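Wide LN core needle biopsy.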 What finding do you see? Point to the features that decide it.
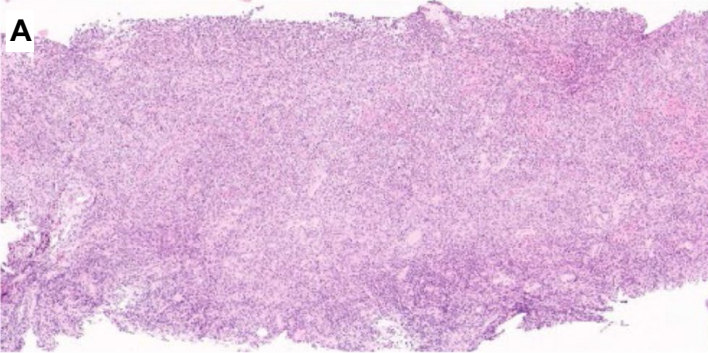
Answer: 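Effaced architecture. No follicles or sinuses can be made out across the core. The core is filled by a diffuse, uniform cellular infiltrate.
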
